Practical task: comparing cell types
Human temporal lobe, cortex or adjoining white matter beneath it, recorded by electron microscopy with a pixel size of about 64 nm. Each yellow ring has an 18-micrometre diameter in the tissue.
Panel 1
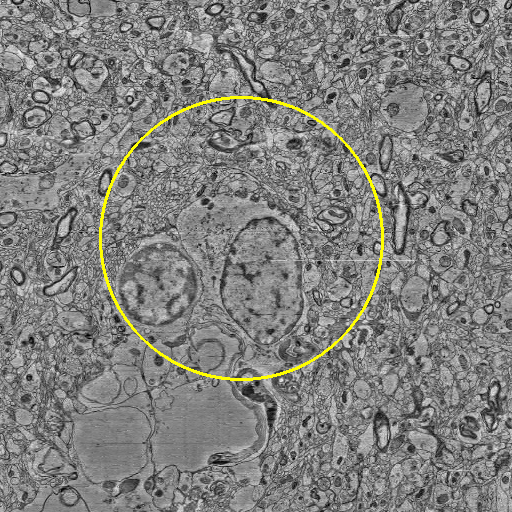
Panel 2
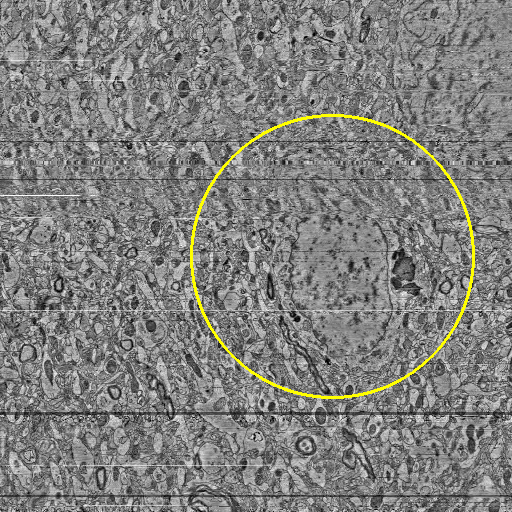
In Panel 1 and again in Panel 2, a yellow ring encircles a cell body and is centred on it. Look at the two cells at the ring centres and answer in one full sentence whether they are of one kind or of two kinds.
The two cells sitting at the ring centres of Panels 1 and 2 are of two kinds.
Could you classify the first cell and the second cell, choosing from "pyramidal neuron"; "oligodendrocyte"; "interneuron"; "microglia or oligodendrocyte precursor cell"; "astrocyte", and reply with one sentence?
The second cell is an interneuron, while the first is a microglial cell or oligodendrocyte precursor cell.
